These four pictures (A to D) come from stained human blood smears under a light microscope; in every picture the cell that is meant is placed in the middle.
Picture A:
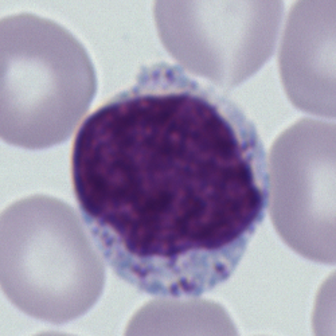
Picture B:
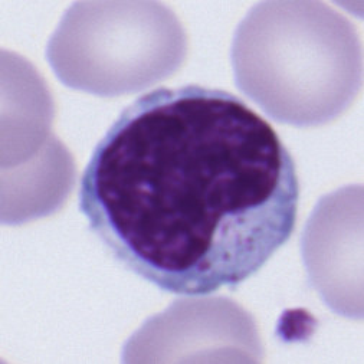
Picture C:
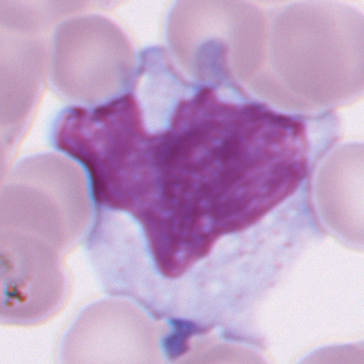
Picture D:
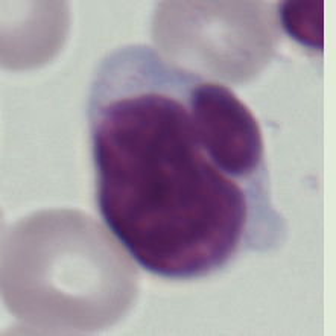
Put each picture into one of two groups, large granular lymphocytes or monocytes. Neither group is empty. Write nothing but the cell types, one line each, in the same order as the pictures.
large granular lymphocyte
large granular lymphocyte
monocyte
large granular lymphocyte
